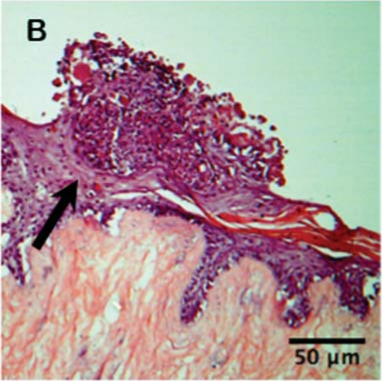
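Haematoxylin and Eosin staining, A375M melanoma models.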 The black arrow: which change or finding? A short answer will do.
cells in cluster within the epidermis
